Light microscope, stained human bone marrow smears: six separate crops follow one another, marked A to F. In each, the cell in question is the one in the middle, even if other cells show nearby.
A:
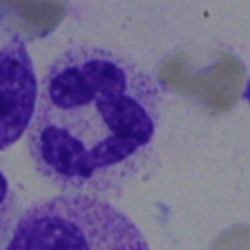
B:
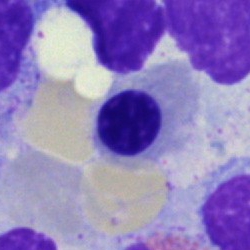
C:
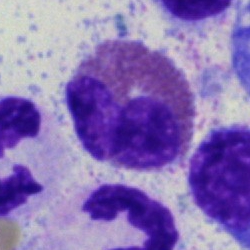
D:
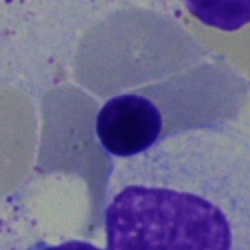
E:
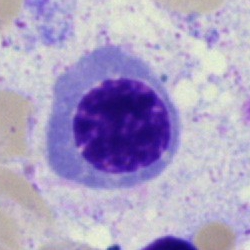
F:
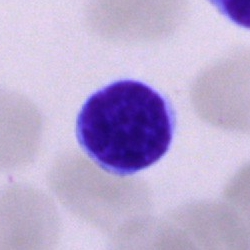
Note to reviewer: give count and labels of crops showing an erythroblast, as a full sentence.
Altogether three crops hold erythroblasts, these being B, D and E.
